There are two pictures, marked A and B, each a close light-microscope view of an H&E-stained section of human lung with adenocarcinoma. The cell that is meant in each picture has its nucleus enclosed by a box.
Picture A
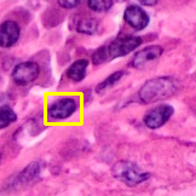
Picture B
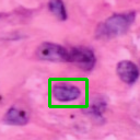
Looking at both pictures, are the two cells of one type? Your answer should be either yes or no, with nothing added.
no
